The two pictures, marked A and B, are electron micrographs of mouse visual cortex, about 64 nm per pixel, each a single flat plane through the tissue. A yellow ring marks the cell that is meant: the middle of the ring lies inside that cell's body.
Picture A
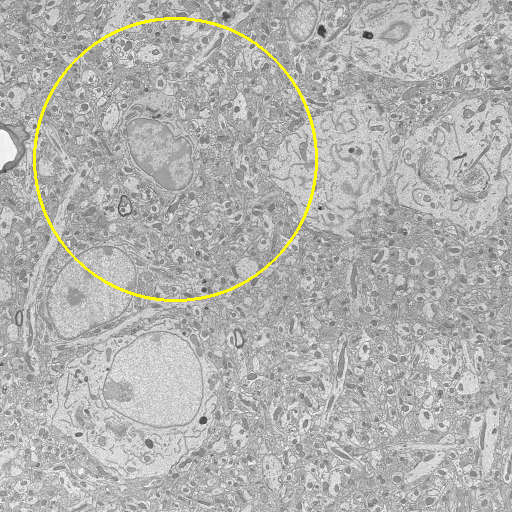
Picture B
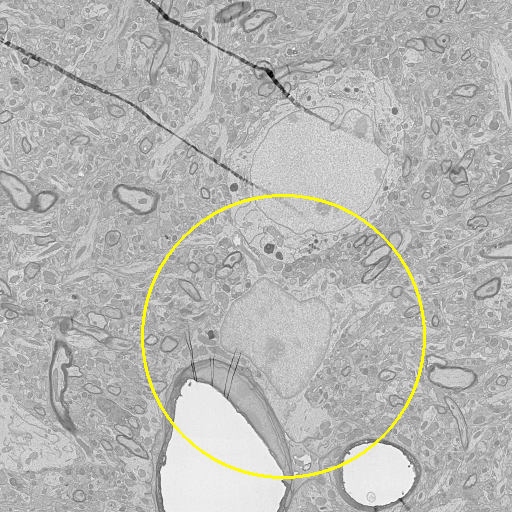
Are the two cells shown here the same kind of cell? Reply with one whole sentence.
No, the types are not the same, since picture A shows a microglial cell and picture B an astrocyte.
